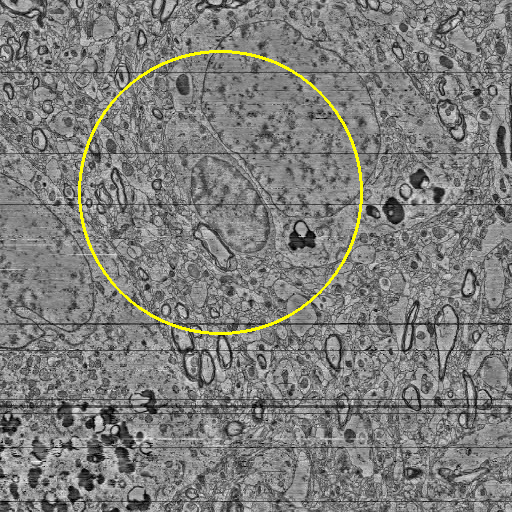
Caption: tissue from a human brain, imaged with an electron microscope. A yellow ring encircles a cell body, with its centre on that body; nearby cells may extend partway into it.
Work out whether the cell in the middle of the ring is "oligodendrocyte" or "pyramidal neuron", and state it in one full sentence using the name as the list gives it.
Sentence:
In the picture, the cell that the yellow ring surrounds at its centre is an oligodendrocyte.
